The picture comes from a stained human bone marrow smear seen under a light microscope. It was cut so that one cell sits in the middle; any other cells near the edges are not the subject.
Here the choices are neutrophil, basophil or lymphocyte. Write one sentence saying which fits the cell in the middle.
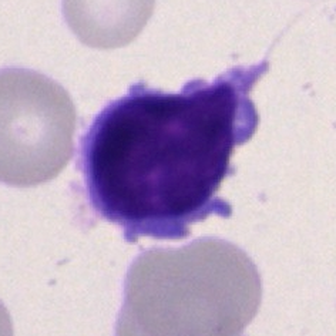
This particular crop is centered on a lymphocyte.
